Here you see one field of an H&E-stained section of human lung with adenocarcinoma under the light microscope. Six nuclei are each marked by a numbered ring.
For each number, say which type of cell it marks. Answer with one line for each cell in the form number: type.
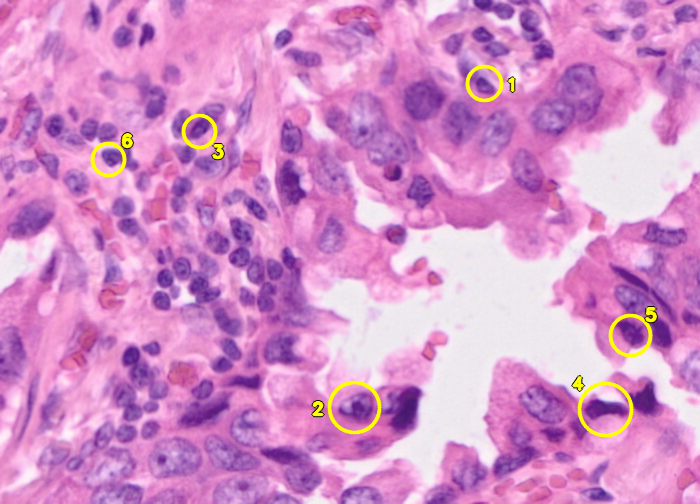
1: lymphocyte
2: carcinoma cell
3: plasma cell
4: carcinoma cell
5: carcinoma cell
6: lymphocyte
